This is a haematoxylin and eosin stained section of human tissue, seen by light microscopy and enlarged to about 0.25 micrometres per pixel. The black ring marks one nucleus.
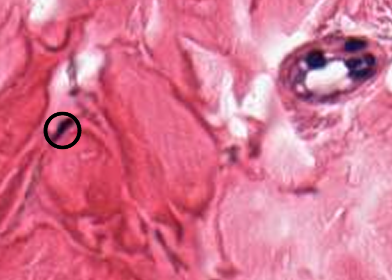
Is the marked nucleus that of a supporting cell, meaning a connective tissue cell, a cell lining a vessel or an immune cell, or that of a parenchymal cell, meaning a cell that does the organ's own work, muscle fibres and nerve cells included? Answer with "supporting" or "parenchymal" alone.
supporting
